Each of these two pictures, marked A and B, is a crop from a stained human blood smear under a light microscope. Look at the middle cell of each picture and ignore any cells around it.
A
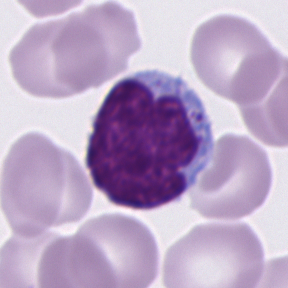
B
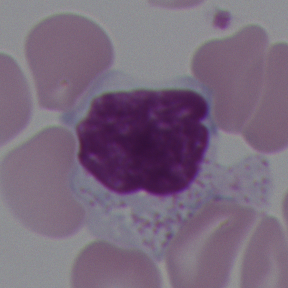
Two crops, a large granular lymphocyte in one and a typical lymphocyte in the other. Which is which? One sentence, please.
Crop A is a typical lymphocyte and crop B is a large granular lymphocyte.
